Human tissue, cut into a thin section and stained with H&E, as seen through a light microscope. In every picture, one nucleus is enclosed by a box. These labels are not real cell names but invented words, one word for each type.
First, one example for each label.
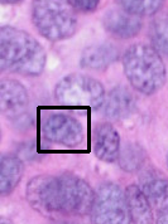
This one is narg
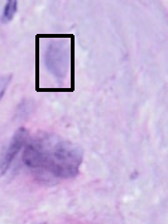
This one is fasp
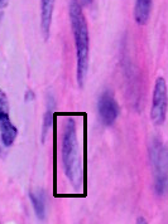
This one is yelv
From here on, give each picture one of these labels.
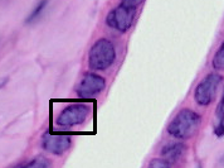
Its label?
narg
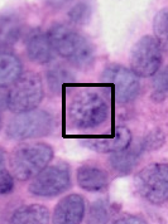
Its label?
narg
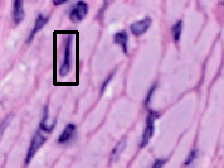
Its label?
fasp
